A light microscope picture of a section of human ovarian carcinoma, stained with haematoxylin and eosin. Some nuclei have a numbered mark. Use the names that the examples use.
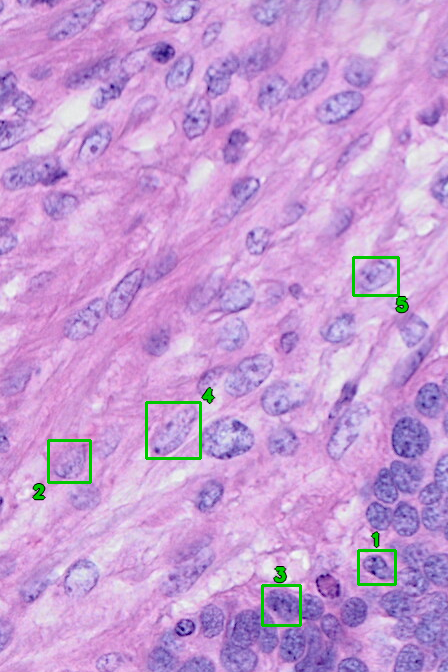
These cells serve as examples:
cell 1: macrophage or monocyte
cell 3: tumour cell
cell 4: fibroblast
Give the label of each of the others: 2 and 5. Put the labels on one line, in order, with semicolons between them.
fibroblast; fibroblast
